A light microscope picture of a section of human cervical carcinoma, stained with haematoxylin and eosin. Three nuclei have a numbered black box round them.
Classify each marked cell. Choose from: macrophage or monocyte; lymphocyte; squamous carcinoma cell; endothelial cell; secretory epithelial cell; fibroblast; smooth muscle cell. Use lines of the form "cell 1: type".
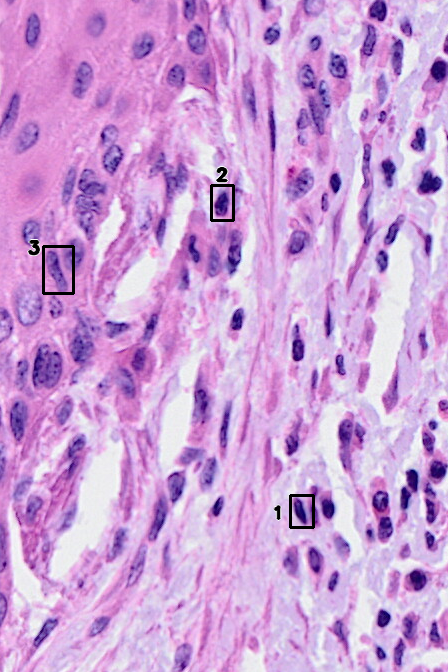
cell 1: lymphocyte
cell 2: lymphocyte
cell 3: squamous carcinoma cell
